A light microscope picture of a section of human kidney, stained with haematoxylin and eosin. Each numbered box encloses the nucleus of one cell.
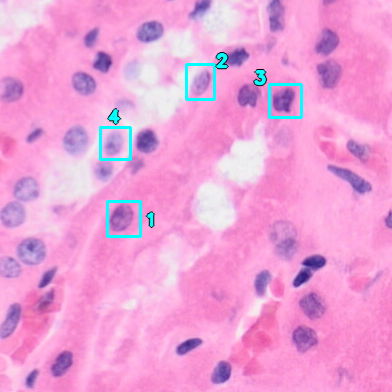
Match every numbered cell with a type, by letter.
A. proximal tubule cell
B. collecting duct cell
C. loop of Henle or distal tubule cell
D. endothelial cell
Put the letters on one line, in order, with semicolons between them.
A; C; A; C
